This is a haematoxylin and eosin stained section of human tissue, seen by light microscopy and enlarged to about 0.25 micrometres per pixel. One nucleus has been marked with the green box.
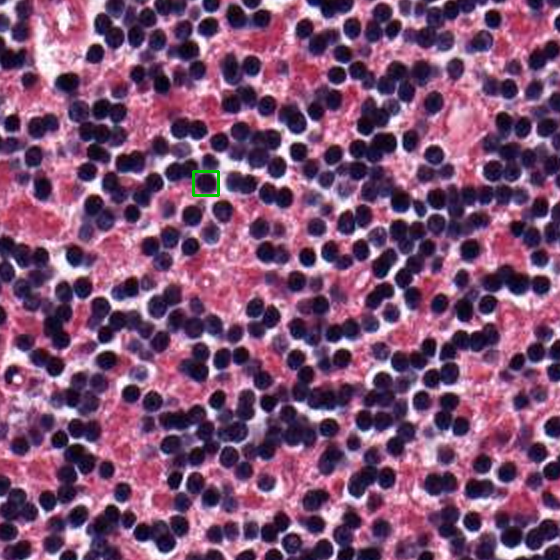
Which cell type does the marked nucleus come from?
cerebellar granule cell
